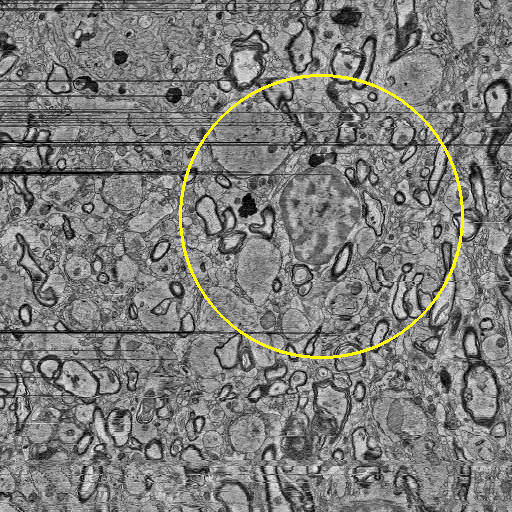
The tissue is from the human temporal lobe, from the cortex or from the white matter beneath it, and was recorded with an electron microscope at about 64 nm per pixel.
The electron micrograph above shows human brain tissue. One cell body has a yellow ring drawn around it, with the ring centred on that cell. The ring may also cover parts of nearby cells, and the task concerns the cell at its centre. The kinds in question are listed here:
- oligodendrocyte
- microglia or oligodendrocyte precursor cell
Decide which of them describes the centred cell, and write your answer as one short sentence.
The centred cell is a microglial cell or oligodendrocyte precursor cell.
